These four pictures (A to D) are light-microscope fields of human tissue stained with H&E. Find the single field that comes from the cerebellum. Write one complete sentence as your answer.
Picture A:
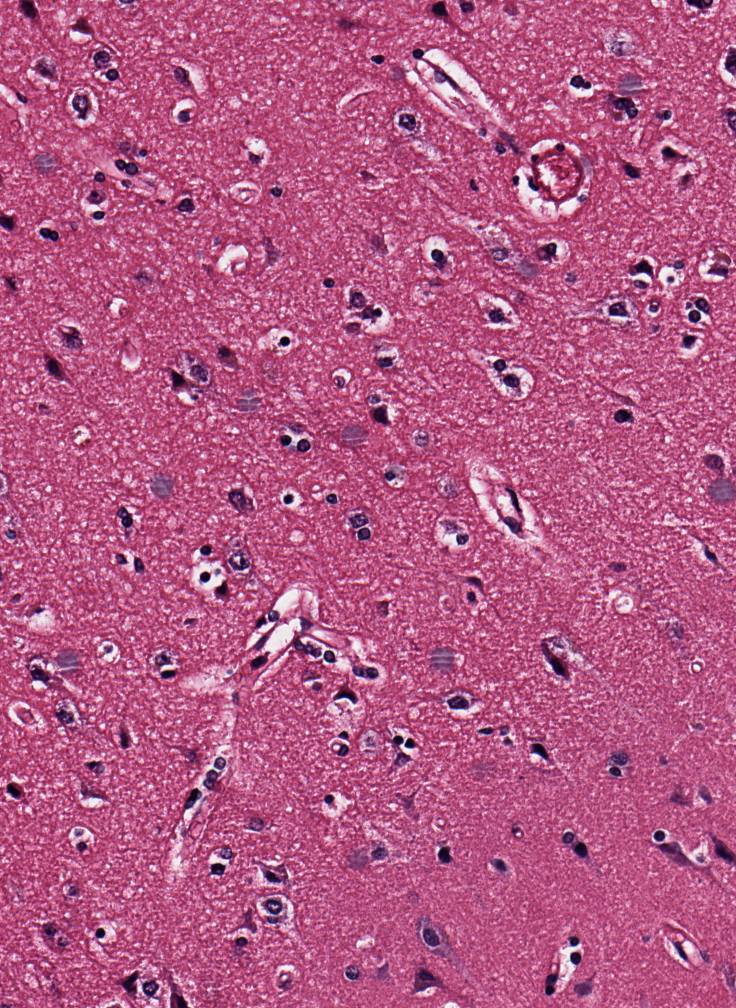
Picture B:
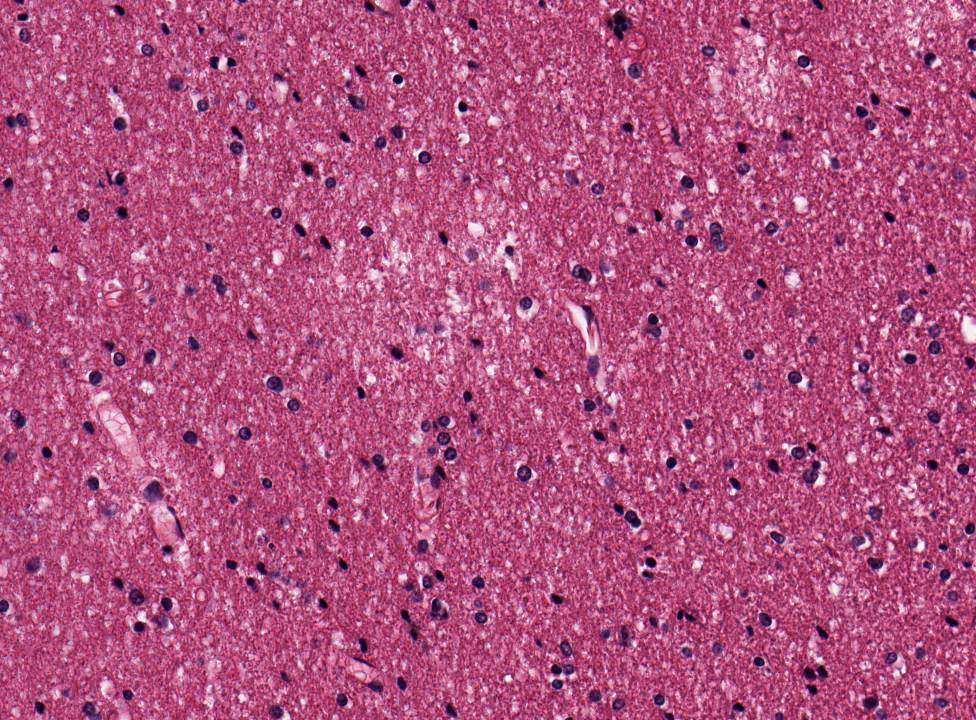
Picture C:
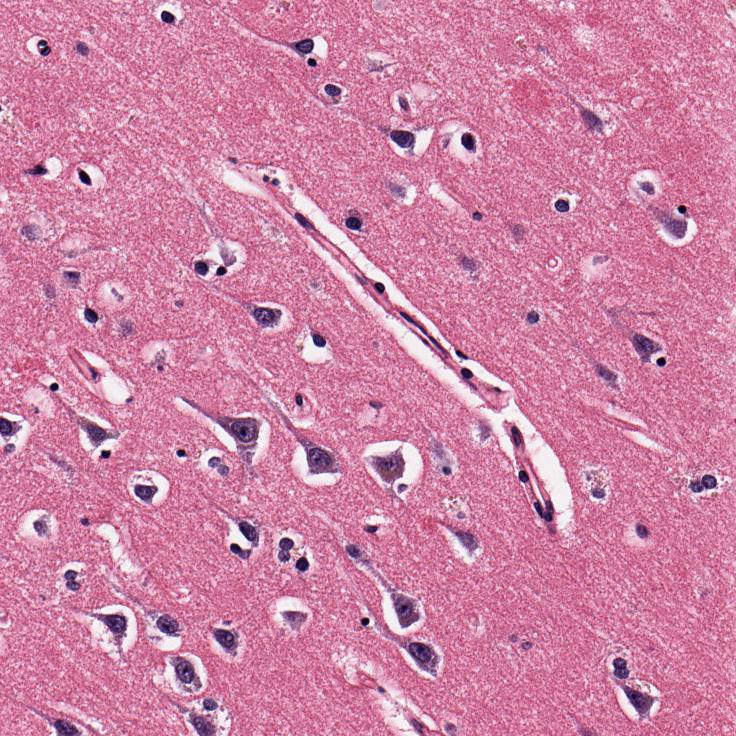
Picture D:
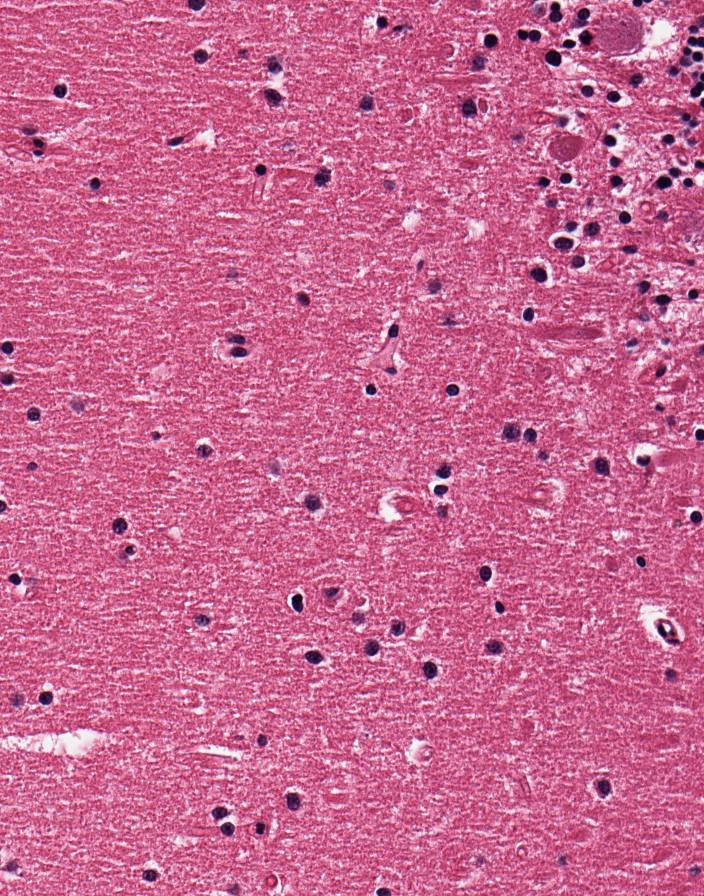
It is picture D that comes from the cerebellum.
